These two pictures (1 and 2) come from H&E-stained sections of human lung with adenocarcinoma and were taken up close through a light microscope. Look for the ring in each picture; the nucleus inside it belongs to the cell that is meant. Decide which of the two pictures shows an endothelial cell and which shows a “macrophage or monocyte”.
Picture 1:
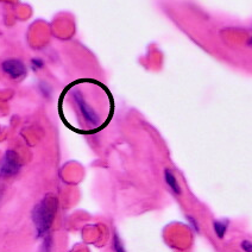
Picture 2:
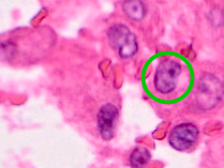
1: endothelial cell
2: macrophage or monocyte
